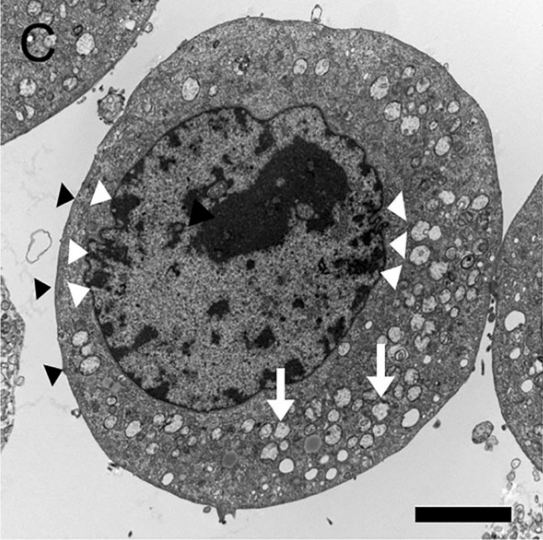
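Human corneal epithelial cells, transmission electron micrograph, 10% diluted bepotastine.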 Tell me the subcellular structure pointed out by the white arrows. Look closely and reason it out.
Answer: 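Vacuoles. The arrows point at round pale membrane-bound spaces in the cytoplasm. Many such pale spaces crowd the cytoplasm around the nucleus.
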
